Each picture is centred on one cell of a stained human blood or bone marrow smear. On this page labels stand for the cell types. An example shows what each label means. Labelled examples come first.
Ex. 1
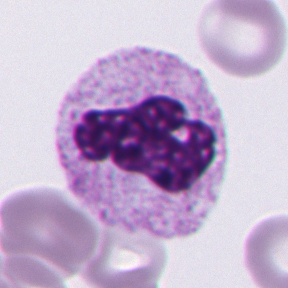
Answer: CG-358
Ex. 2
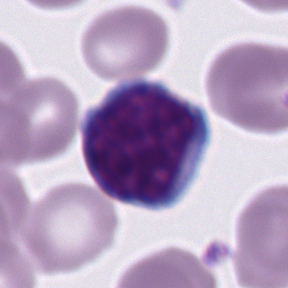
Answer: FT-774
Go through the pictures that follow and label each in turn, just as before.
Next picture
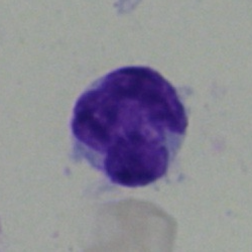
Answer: FT-774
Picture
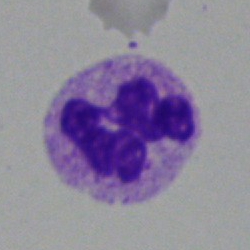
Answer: CG-358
